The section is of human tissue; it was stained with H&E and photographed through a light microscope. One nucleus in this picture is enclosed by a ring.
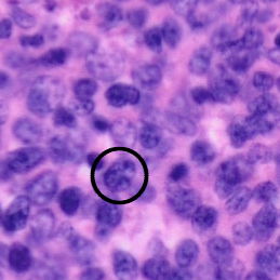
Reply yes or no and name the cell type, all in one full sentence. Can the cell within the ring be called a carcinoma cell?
No, the cell within the ring is a proliferating B cell in this section, not a carcinoma cell.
